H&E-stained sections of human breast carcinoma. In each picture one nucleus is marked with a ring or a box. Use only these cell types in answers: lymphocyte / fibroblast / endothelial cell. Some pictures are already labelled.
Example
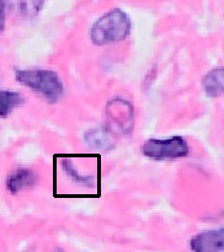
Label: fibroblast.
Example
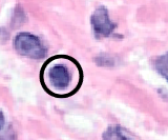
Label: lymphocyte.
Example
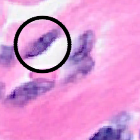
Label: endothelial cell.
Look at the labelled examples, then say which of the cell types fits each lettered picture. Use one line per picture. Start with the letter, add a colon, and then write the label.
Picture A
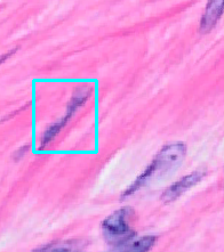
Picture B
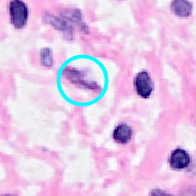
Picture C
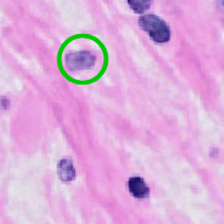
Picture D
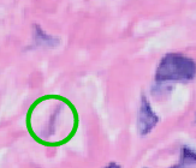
A: fibroblast.
B: fibroblast.
C: lymphocyte.
D: fibroblast.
